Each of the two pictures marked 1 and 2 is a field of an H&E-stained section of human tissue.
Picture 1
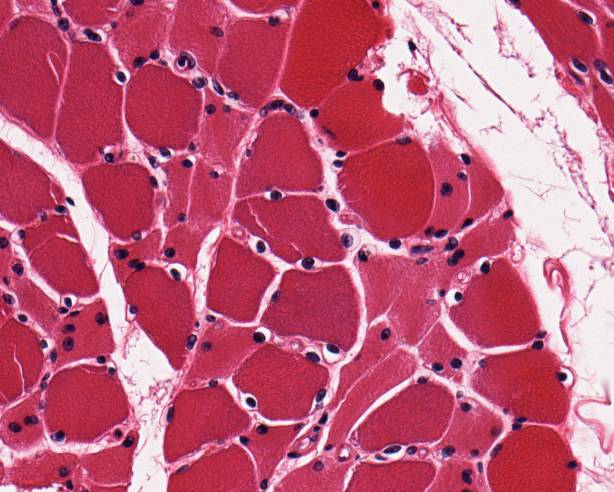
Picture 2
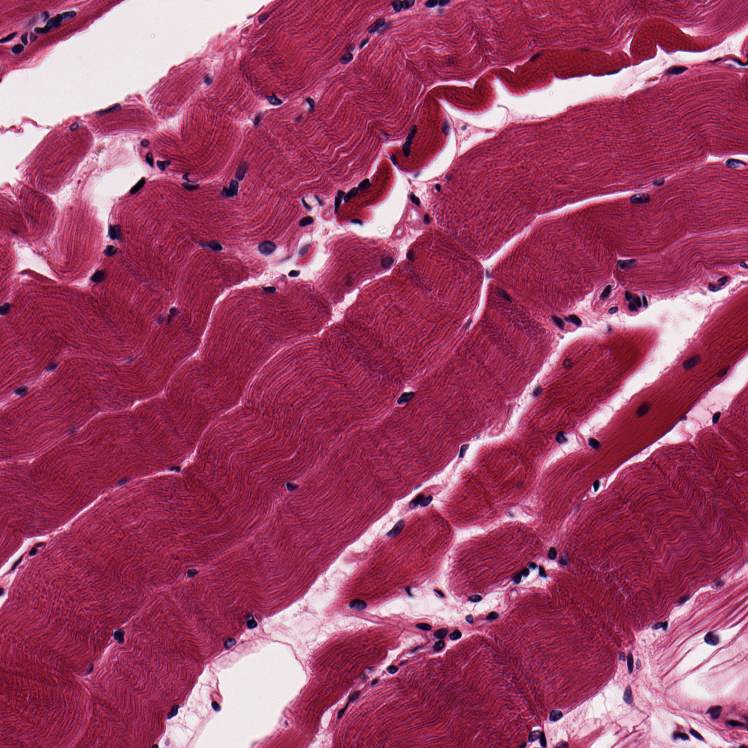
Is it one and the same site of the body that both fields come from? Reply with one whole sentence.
Yes, the two fields both come from skeletal muscle.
